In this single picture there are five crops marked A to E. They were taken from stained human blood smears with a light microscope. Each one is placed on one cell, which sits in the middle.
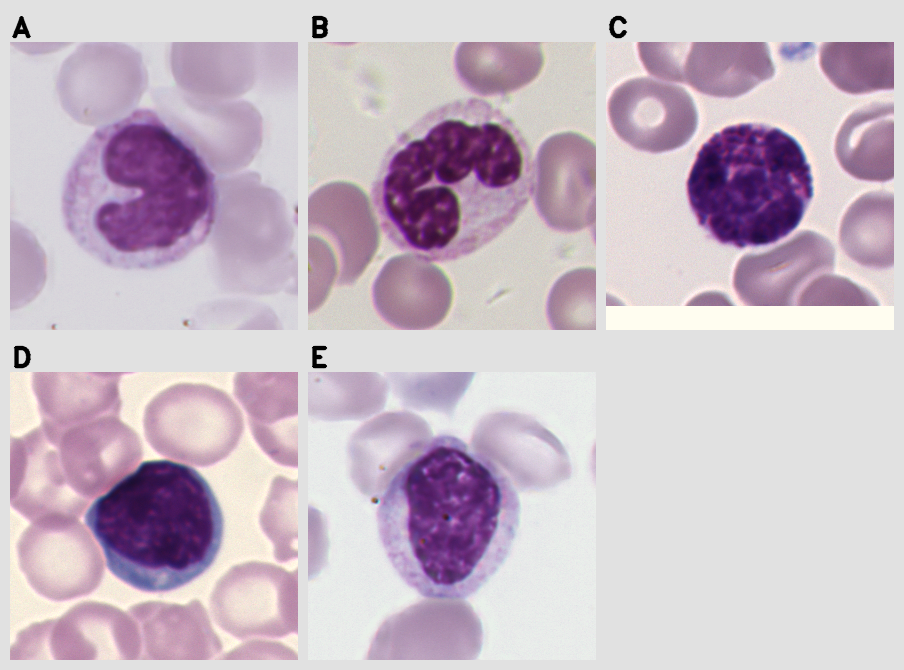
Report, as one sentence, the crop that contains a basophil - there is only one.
In this series, a basophil is shown by crop C.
